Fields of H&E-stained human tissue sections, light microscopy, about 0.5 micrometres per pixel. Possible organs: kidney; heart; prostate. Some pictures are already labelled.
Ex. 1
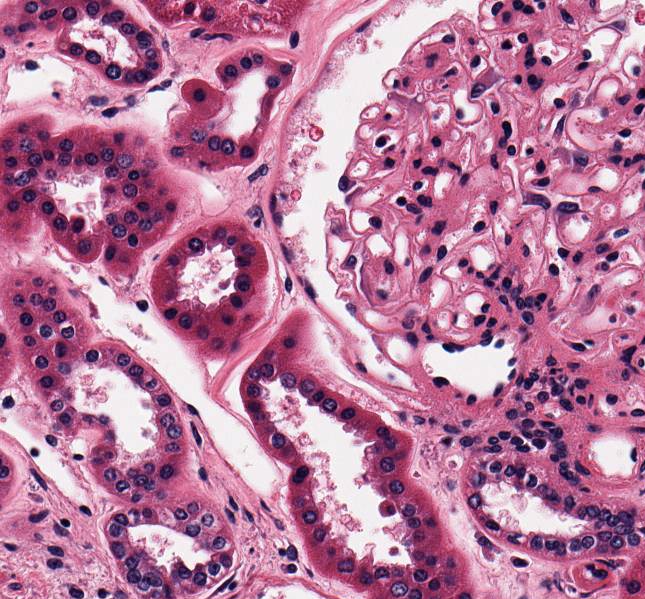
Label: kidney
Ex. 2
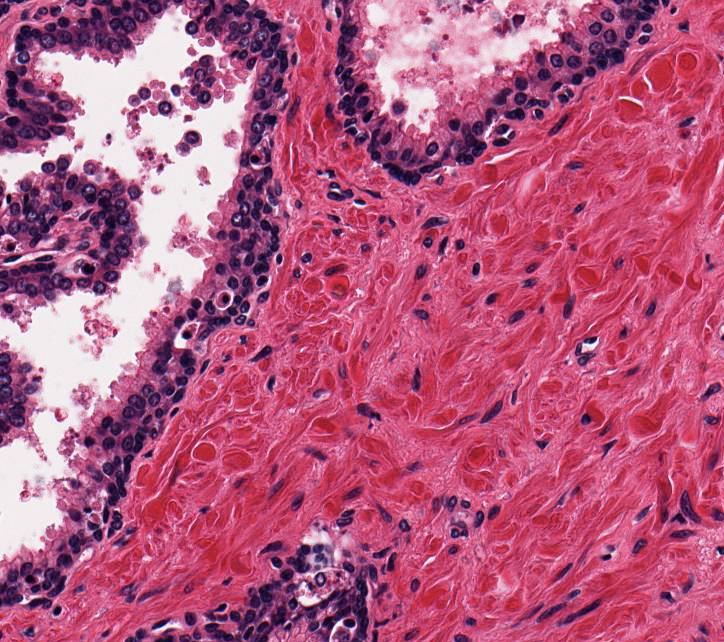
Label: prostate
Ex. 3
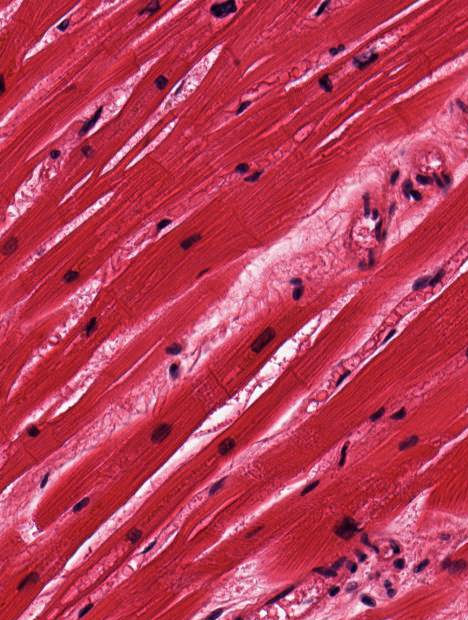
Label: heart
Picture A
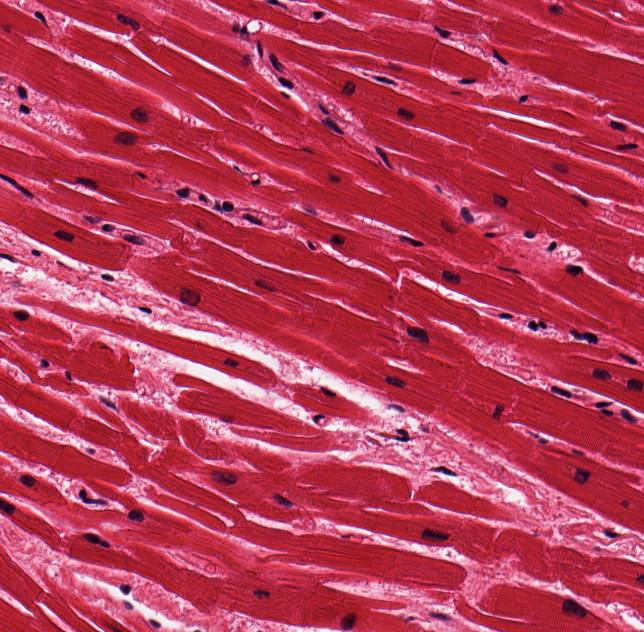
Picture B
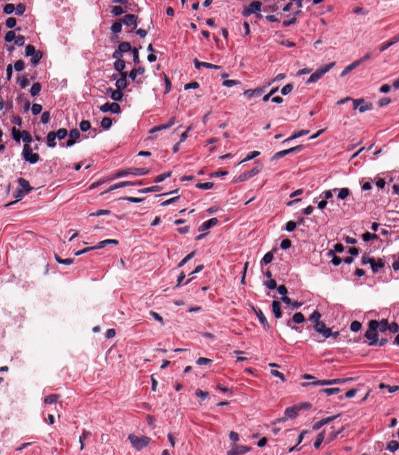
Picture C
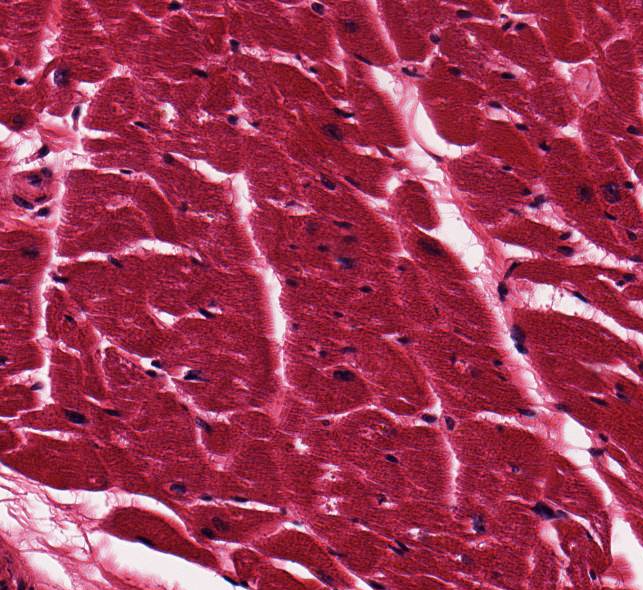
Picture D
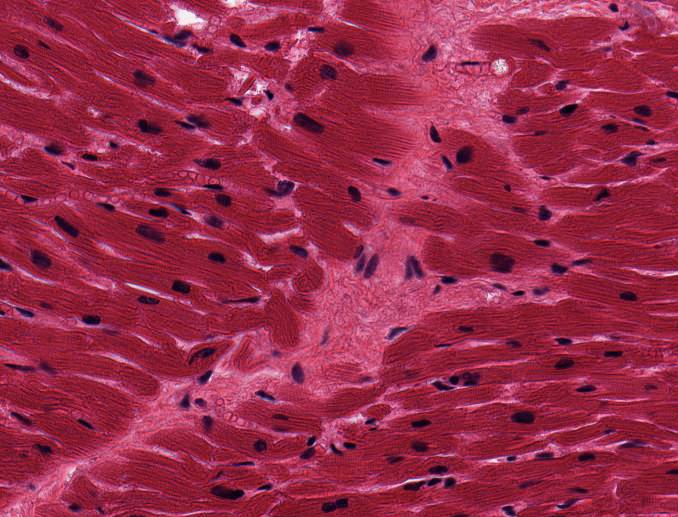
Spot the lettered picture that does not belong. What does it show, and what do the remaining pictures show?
Odd one out: B (prostate). The rest: heart.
